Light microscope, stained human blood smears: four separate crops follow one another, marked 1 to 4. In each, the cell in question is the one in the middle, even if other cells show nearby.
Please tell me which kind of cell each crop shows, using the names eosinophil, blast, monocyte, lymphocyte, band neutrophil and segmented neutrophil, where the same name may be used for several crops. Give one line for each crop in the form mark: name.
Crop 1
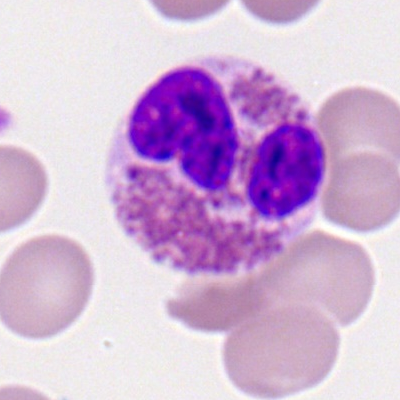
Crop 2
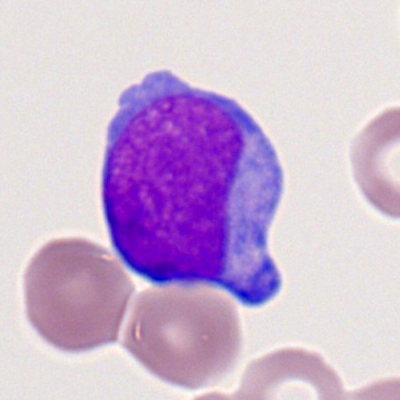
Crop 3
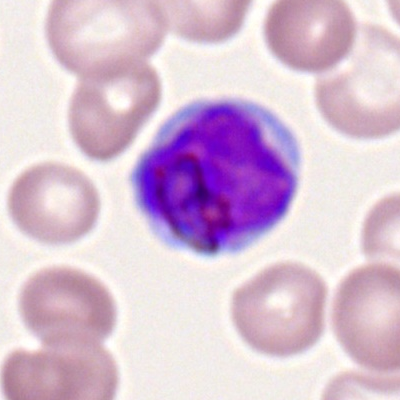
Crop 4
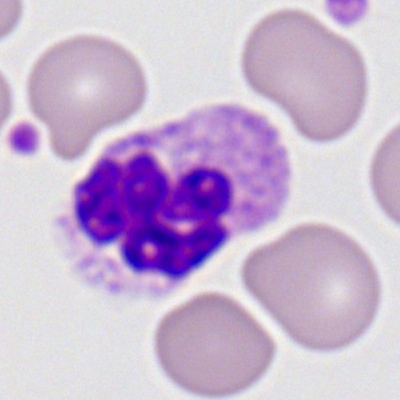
1: eosinophil
2: blast
3: lymphocyte
4: segmented neutrophil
